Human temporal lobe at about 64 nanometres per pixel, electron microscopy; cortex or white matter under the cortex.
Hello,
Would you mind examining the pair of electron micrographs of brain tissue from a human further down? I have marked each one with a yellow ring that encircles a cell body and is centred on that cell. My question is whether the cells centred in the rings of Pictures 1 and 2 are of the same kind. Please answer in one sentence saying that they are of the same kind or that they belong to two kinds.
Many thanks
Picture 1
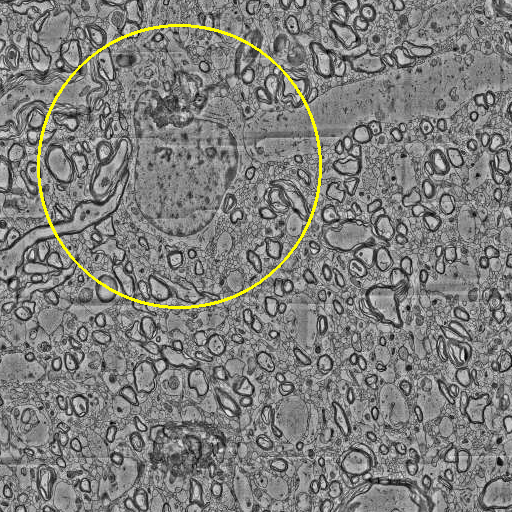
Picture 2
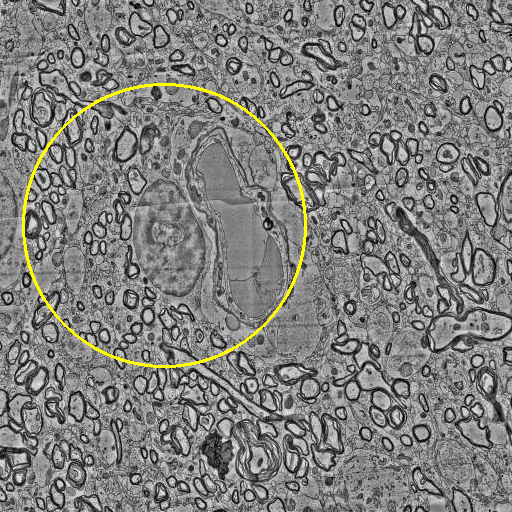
In Pictures 1 and 2, the cells at the heart of the rings belong to two kinds.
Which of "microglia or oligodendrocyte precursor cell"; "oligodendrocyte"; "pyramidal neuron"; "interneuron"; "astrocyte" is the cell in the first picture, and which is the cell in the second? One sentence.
The two differ: the first cell is a microglial cell or oligodendrocyte precursor cell and the second is an oligodendrocyte.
